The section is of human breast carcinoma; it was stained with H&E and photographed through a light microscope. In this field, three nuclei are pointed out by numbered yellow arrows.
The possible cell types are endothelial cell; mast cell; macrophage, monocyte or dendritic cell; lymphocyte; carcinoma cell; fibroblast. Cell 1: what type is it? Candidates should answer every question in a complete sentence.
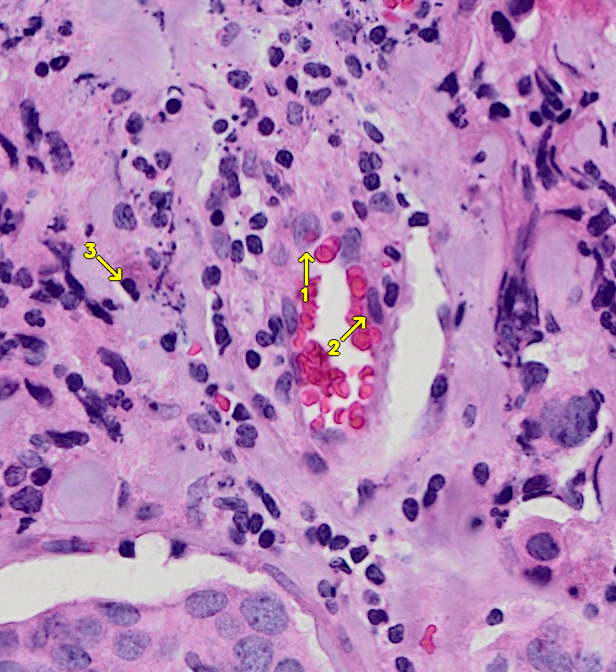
Denoted by the label 1 in the section is an endothelial cell.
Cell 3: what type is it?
Number 3 among the marked cells is a lymphocyte.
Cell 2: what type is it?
The nucleus with number 2 is that of an endothelial cell.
